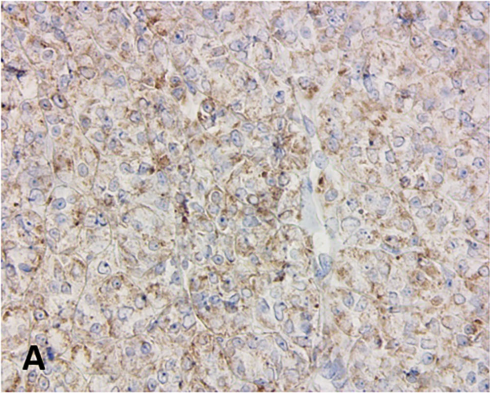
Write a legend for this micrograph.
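A solid sheet of neoplastic cells fills the field with almost no stroma, only a thin pale strand running through the middle. The cells are polygonal with fairly clear borders, moderate pale cytoplasm and round to oval blue nuclei, some with a visible nucleolus. Fine brown granules are scattered through the cytoplasm of many cells, clustering in places, while the nuclei stay blue.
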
